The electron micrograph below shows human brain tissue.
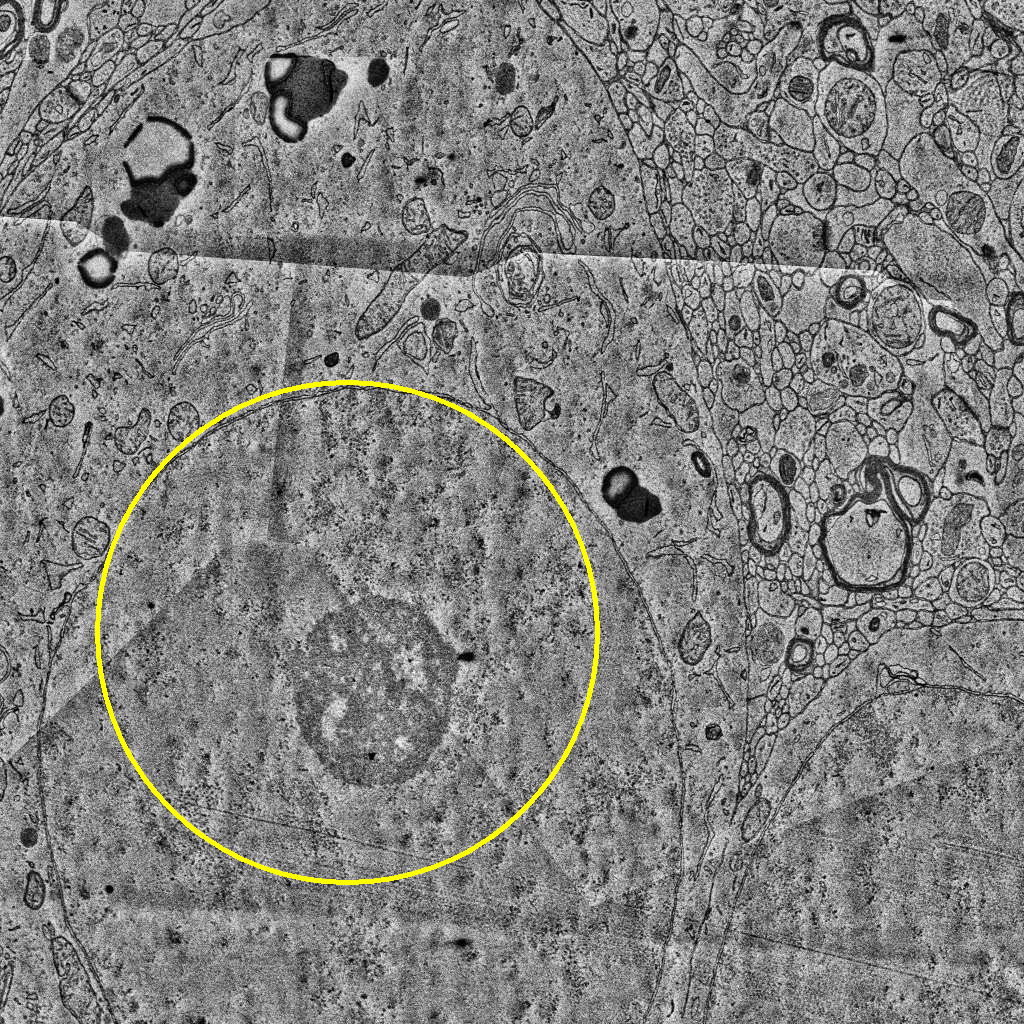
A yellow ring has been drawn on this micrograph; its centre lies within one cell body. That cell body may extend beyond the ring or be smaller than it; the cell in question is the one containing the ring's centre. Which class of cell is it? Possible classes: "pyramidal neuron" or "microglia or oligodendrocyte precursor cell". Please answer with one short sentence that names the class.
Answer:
In the centre of the ring sits a pyramidal neuron.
